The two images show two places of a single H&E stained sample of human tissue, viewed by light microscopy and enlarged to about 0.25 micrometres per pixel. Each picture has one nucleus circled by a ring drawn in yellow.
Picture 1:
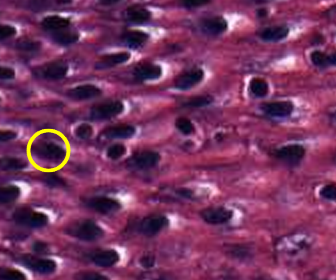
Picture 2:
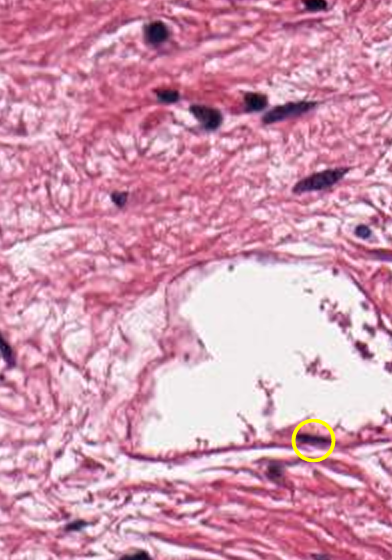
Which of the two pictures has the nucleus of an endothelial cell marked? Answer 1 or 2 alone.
2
